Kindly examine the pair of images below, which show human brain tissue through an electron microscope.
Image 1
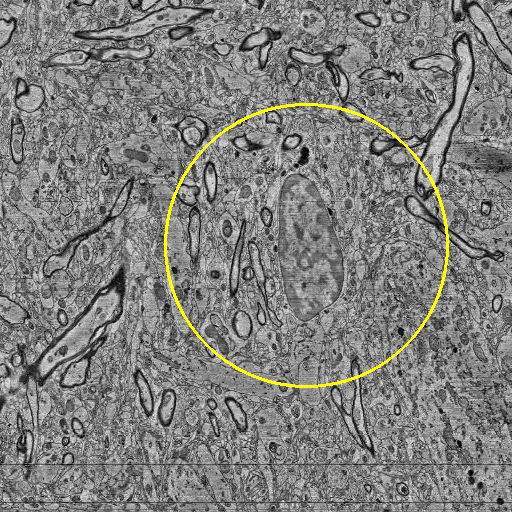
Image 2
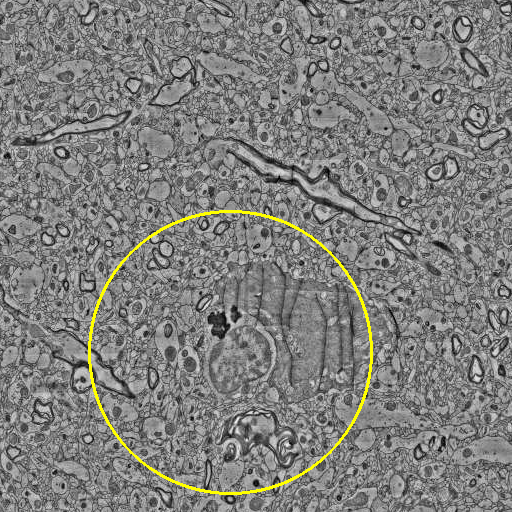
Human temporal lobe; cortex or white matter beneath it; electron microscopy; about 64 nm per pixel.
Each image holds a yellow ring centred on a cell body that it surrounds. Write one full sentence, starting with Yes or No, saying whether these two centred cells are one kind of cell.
No, the cells at the centres of the yellow rings belong to two kinds of cell.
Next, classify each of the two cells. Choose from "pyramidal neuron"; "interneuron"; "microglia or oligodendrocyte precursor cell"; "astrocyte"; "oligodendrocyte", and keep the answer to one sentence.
In the first picture it is a microglial cell or oligodendrocyte precursor cell; in the second it is an oligodendrocyte.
